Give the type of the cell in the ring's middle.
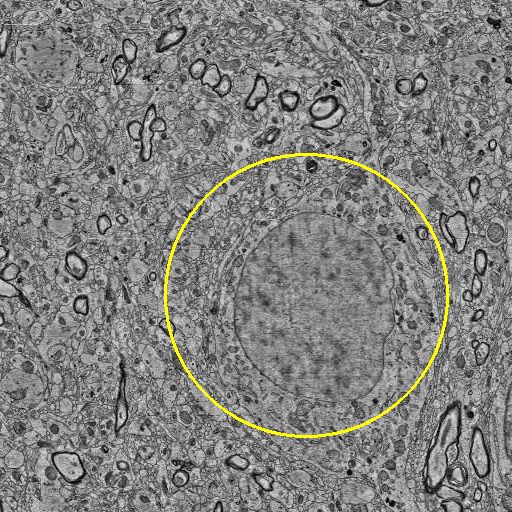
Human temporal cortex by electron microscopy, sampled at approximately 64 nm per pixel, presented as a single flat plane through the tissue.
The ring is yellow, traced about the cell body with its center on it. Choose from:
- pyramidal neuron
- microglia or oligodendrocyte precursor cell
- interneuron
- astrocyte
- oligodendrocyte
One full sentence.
Here, an interneuron is the cell lying at the center of the yellow ring.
